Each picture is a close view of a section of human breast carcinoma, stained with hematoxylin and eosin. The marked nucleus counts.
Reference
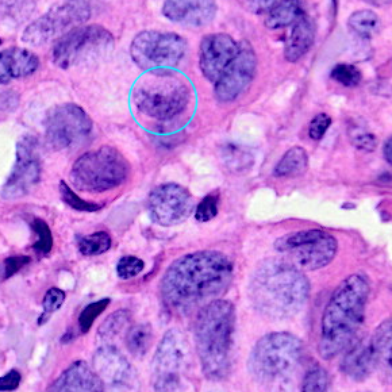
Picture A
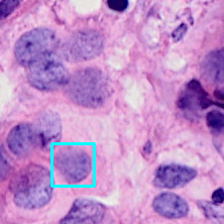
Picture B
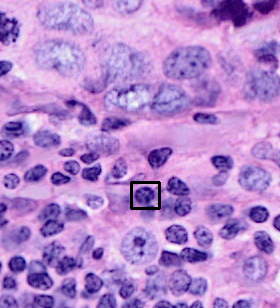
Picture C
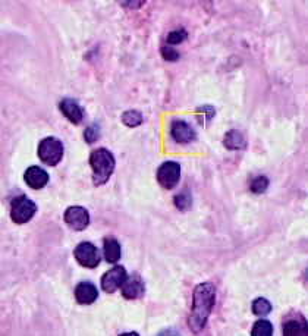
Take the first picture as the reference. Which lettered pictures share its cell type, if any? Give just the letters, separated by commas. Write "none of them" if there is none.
A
